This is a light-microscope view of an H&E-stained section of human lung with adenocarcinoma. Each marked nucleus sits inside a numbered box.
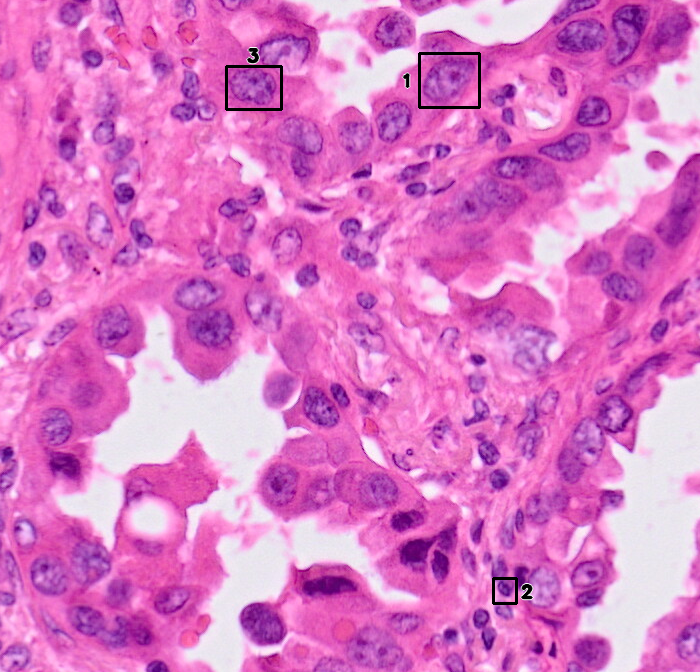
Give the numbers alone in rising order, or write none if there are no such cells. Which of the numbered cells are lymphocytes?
2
